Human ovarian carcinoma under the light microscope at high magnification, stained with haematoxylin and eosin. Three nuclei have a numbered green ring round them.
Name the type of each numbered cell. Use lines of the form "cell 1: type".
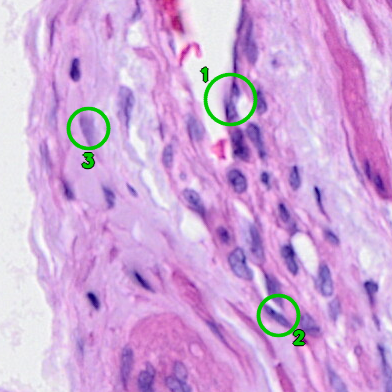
cell 1: endothelial cell
cell 2: endothelial cell
cell 3: fibroblast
